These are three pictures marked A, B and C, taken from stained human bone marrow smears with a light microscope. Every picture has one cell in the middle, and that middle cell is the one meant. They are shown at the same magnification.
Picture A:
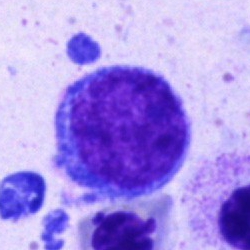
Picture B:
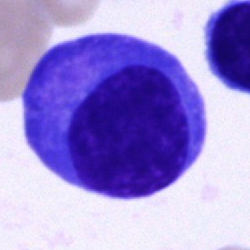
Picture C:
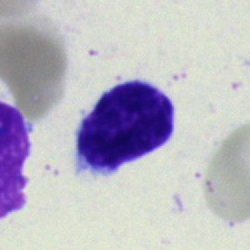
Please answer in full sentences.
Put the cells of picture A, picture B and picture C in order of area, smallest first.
From the smallest up, the order is C, A, B.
